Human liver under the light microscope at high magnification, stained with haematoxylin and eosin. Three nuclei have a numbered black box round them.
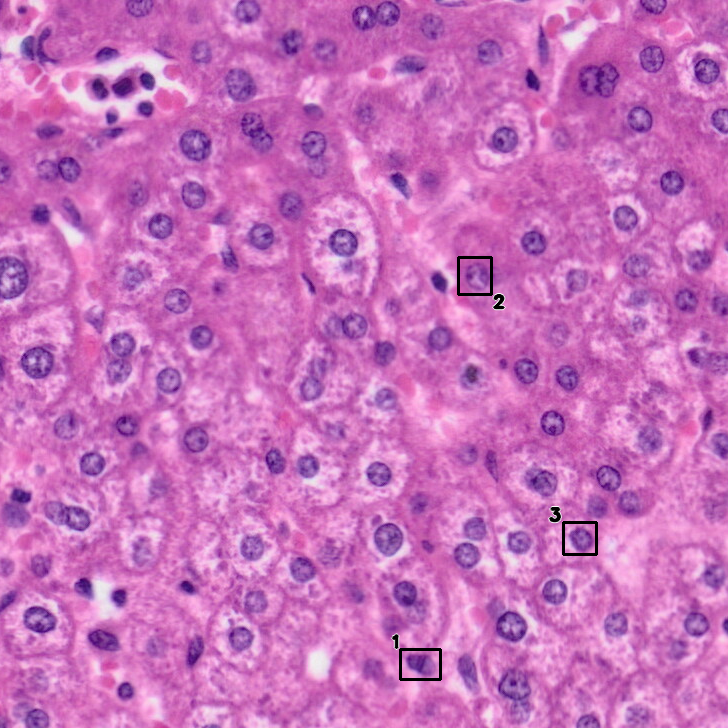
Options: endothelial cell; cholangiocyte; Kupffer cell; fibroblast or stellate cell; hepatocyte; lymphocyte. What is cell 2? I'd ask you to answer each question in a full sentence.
The expected answer is that cell 2 is a hepatocyte.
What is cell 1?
It is as an endothelial cell that the cell numbered 1 is identified.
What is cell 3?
As for number 3, that cell is a hepatocyte.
